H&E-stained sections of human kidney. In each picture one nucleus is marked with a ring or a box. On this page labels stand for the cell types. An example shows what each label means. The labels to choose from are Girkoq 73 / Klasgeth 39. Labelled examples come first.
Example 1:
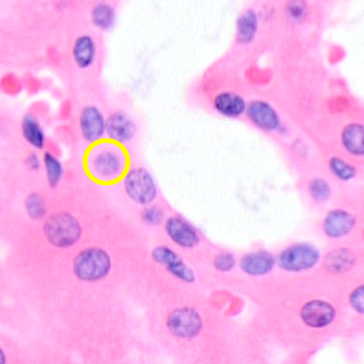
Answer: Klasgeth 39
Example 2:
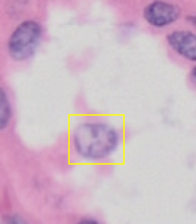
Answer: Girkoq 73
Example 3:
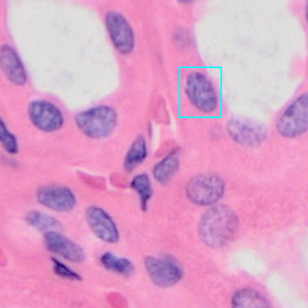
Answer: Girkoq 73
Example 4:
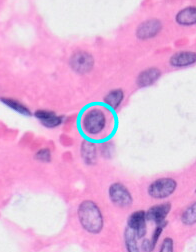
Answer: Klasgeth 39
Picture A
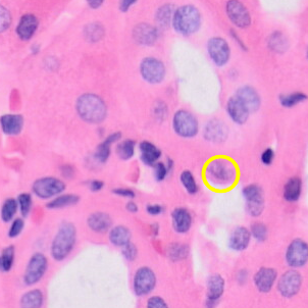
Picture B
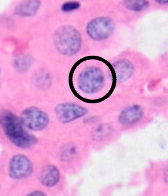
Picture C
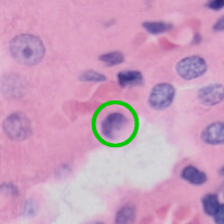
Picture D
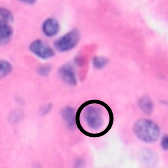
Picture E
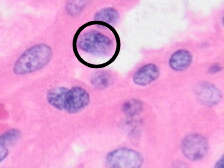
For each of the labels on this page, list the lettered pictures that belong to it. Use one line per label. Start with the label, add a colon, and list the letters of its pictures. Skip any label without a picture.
Girkoq 73: A, B, C, D, E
